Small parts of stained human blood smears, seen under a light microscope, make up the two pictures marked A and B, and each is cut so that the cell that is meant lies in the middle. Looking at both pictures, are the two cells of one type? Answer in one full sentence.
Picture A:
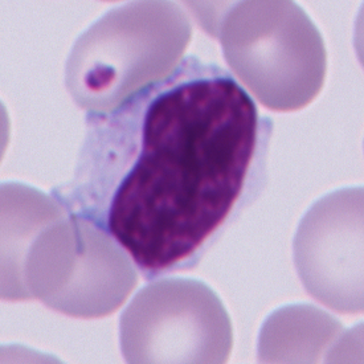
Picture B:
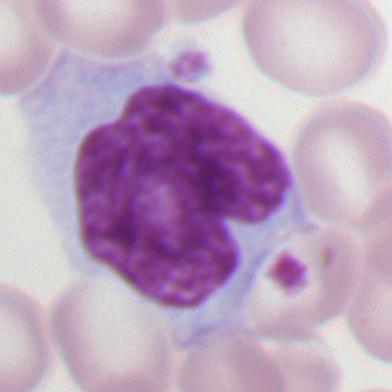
No, they differ: the cell is a large granular lymphocyte in picture A and a monocyte in picture B.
